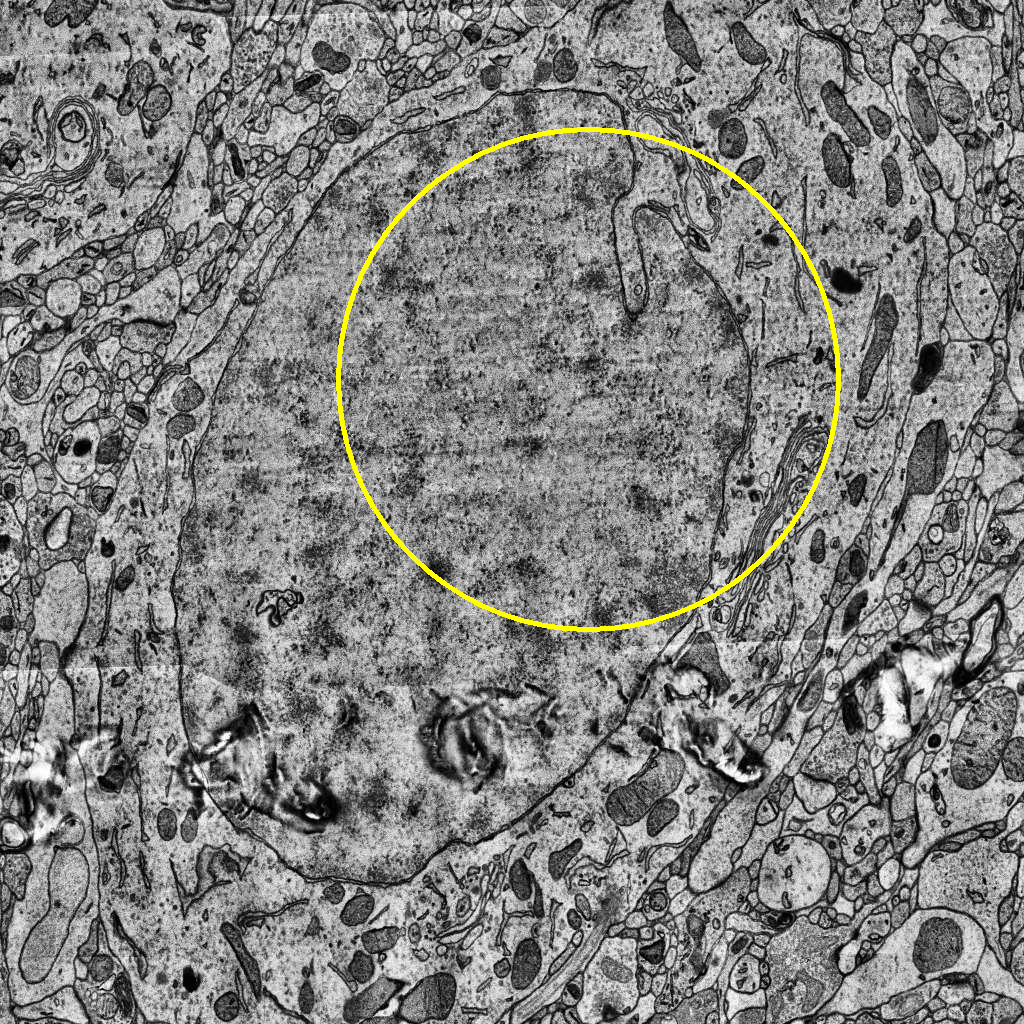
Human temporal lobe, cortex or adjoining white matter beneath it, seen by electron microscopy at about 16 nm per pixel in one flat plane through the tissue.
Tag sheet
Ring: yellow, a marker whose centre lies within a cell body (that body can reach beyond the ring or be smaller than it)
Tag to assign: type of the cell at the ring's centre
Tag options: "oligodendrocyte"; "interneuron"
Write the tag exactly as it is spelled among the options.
interneuron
